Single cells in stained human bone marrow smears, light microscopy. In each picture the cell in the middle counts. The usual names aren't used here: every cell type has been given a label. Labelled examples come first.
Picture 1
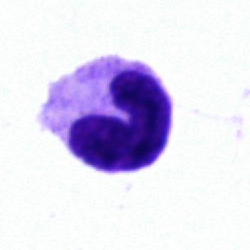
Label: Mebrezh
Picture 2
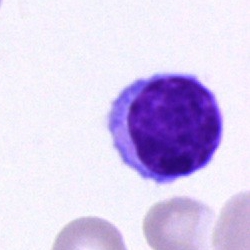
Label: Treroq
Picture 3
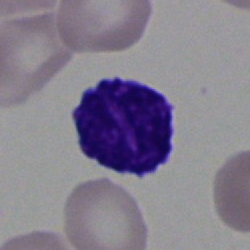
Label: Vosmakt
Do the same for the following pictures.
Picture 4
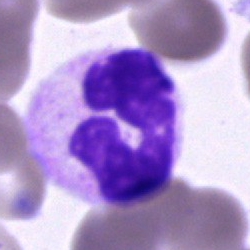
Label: Mebrezh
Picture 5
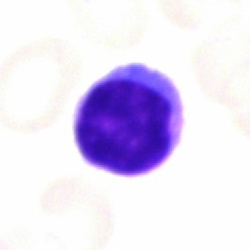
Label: Treroq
